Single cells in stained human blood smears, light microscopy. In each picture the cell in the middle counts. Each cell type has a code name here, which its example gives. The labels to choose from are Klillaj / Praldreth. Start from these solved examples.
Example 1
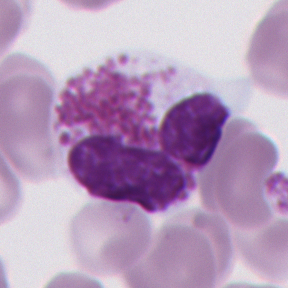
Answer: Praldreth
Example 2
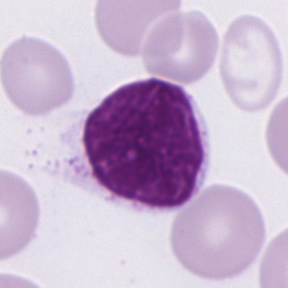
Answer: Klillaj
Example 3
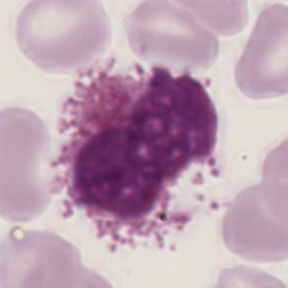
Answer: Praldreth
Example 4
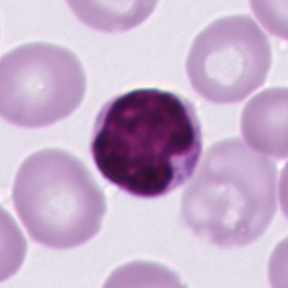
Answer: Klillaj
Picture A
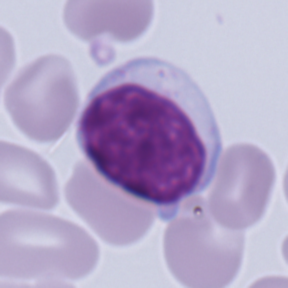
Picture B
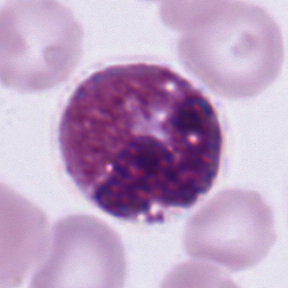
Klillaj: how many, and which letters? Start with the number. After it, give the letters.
Count: 1 (A)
